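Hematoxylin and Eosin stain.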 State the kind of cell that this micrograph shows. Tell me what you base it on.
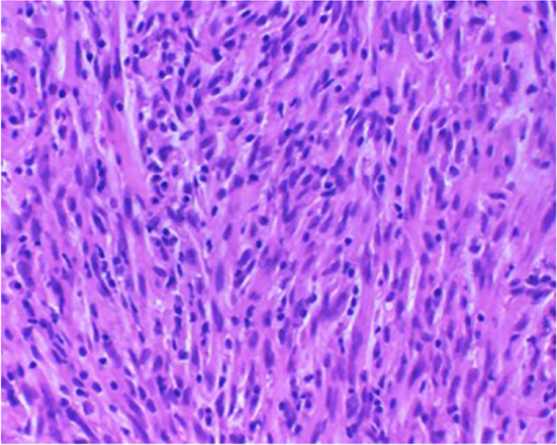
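Spindle cells. Elongated cells with tapered, cigar-shaped to oval purple nuclei. Cells aligned in parallel streams. Moderate pink cytoplasm drawn out along the cell axis.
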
